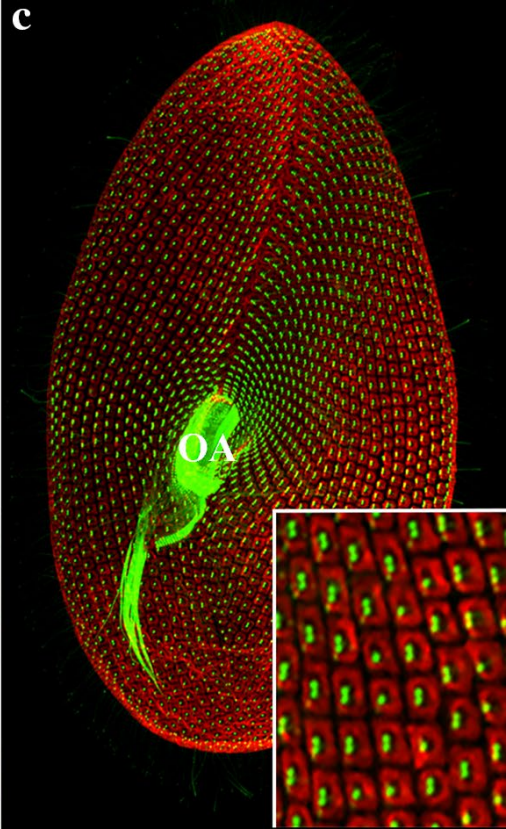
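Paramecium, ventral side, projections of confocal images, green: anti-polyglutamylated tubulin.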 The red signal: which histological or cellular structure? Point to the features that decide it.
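Epiplasm units. Red forms a lattice of small polygonal compartments tiling the cell surface. The compartments are arranged in longitudinal rows converging toward the mouth region.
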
